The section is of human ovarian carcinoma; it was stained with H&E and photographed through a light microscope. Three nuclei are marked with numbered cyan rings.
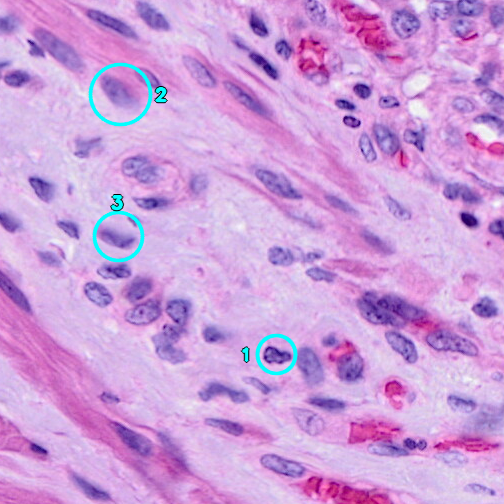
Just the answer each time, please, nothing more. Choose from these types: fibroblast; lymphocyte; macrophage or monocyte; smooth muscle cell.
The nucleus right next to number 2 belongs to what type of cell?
smooth muscle cell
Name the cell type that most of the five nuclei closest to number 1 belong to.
macrophage or monocyte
